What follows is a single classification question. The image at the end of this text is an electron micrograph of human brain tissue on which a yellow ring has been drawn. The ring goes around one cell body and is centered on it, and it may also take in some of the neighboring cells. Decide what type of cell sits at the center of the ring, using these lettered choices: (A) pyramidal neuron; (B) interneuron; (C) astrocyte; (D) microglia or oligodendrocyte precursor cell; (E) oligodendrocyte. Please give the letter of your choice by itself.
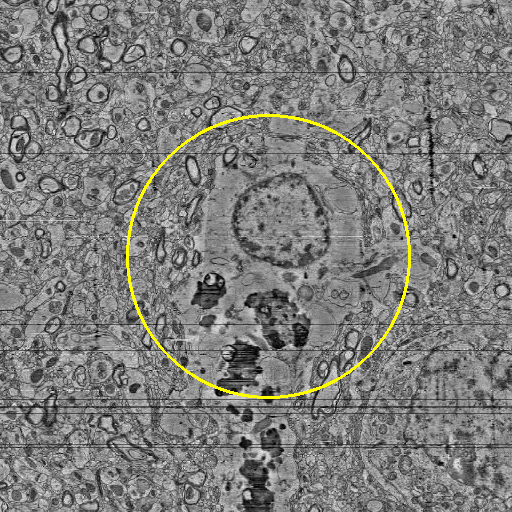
C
